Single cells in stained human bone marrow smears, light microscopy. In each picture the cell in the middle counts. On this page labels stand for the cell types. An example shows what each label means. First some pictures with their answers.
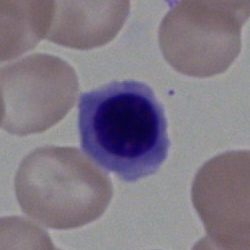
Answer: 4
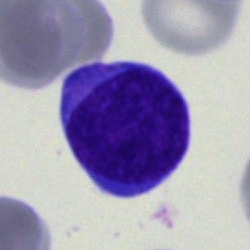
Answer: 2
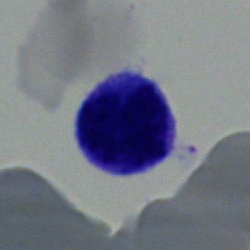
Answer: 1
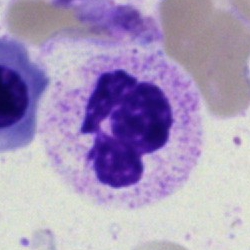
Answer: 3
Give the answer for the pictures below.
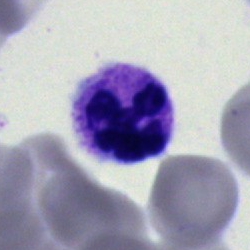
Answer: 3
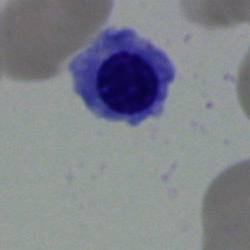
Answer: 4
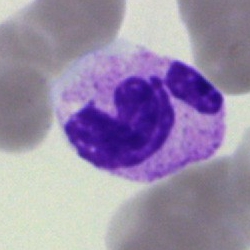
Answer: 3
